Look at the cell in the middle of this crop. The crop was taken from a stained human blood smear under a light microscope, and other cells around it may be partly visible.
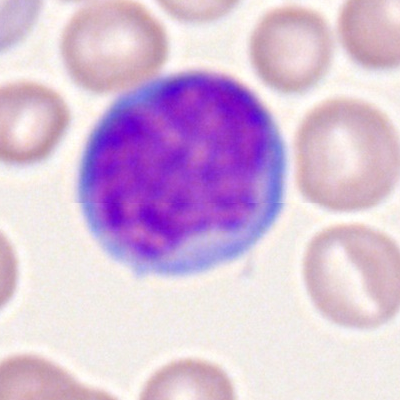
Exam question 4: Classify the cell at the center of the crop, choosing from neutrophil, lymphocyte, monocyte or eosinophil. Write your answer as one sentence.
In the middle of this smear crop is a monocyte.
